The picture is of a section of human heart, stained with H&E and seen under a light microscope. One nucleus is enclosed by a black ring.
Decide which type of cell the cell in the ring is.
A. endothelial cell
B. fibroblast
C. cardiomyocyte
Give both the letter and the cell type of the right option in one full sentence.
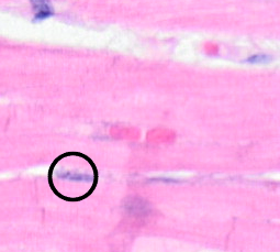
It is option B that correctly calls the cell in the ring a fibroblast.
